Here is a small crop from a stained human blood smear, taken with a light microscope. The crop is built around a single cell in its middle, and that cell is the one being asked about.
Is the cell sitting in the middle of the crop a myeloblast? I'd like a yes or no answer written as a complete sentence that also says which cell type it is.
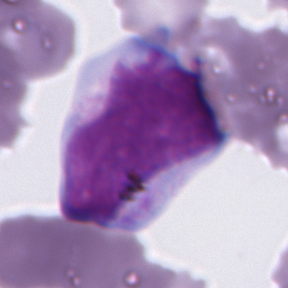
Yes, the cell of interest in the centre is a myeloblast.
